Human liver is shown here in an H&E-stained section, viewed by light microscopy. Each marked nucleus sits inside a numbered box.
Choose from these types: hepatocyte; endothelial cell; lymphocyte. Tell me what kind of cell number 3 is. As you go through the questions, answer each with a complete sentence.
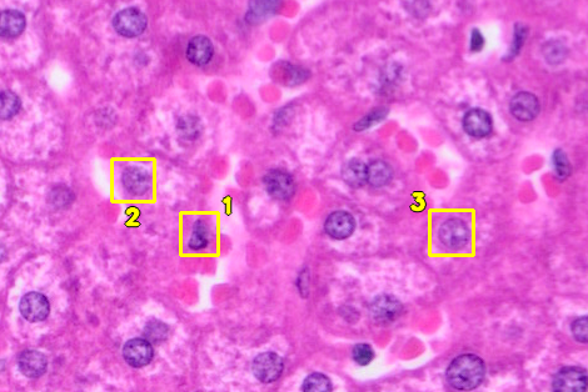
In this section, the cell numbered 3 is a hepatocyte.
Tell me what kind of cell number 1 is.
The cell that is numbered 1 is an endothelial cell.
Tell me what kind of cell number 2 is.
Cell number 2 in this section is a hepatocyte.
